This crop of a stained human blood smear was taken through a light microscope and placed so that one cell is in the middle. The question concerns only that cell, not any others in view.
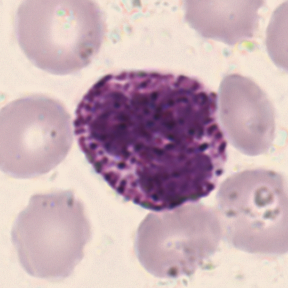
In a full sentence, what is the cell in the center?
Standing at the centre of this crop is a basophil.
